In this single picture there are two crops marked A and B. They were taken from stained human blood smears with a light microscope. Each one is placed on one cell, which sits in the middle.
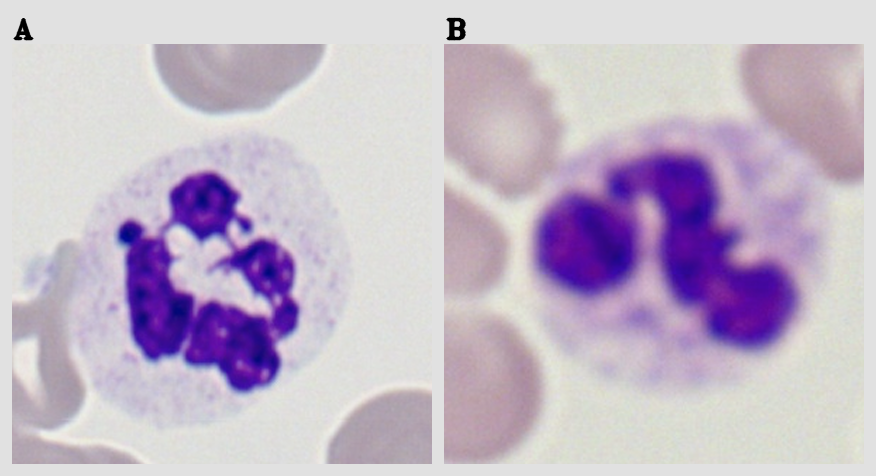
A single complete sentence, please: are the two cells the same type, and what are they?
Yes, the two crops show segmented neutrophils, both of them.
